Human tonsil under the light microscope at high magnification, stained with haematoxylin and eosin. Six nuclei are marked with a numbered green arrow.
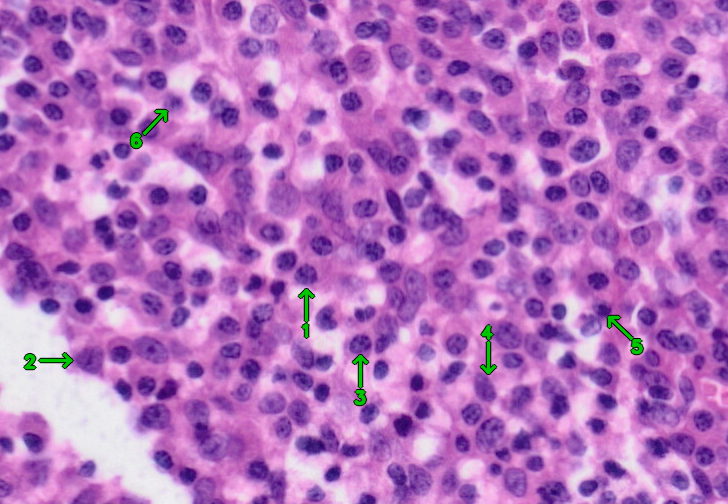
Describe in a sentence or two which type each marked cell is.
Cells 1, 3, 5 and 6 are plasma cells. Cells 2 and 4 are squamous epithelial cells.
